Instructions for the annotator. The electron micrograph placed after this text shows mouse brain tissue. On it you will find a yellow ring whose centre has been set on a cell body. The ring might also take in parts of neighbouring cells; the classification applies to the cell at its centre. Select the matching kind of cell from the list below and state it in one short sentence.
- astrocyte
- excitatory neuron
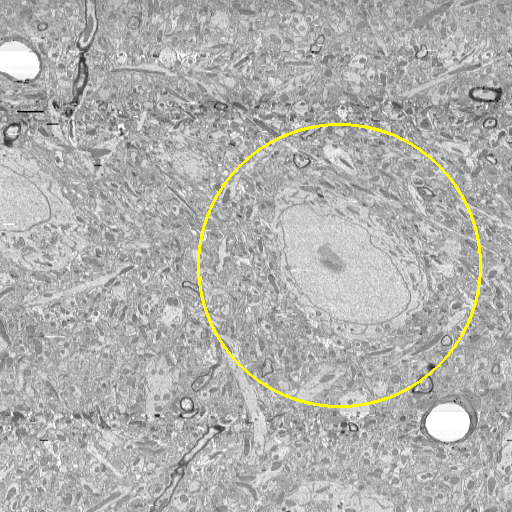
The ring is drawn on the cell body of an excitatory neuron.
